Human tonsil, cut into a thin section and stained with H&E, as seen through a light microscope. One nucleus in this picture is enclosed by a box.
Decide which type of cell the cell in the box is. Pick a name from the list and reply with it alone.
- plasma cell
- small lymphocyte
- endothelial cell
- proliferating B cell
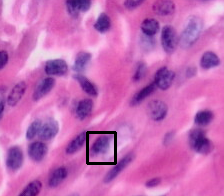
endothelial cell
